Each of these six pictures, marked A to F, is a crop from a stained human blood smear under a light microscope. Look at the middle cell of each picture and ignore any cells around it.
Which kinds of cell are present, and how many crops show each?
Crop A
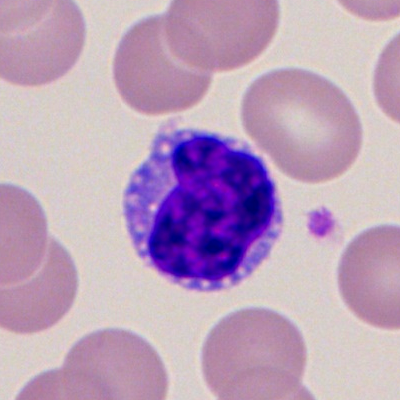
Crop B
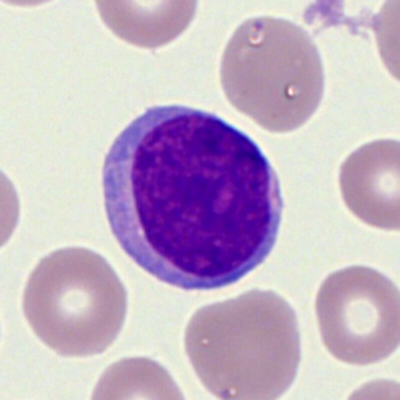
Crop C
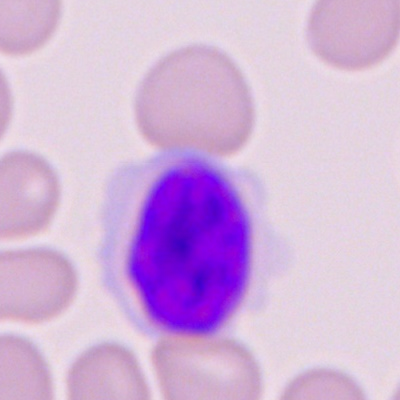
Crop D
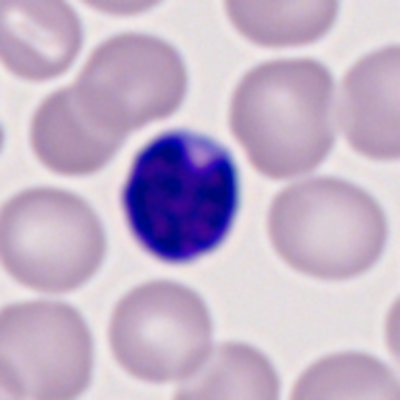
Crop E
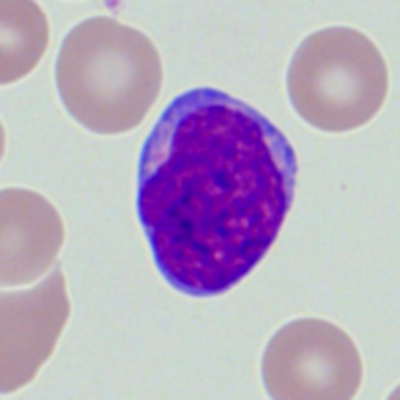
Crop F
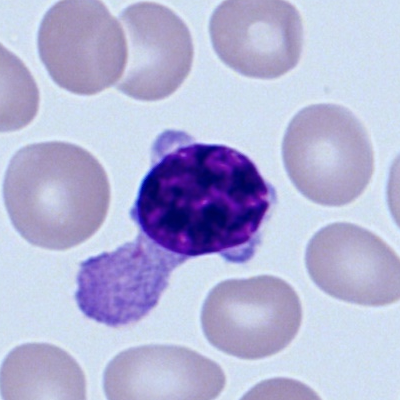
lymphocyte: 4
myeloblast: 2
